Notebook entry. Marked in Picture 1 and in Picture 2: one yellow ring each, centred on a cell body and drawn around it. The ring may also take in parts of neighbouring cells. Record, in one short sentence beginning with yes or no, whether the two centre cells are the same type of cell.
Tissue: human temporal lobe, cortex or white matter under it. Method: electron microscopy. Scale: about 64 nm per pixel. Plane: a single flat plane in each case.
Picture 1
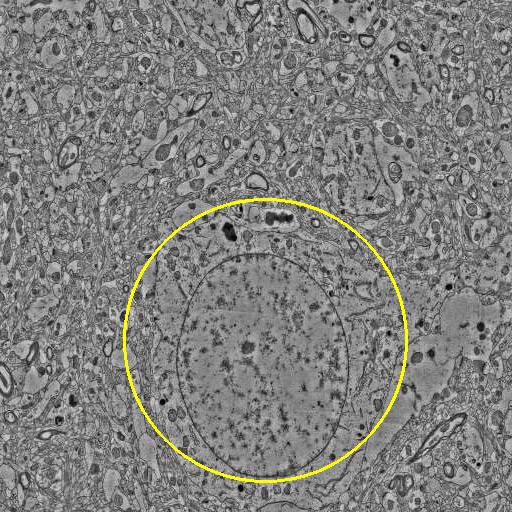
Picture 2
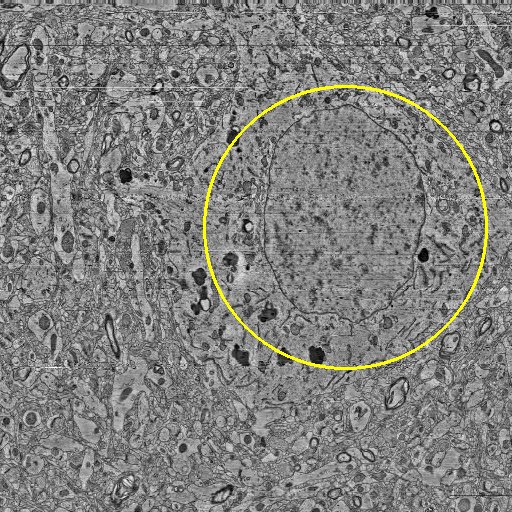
Yes, both are the same type of cell.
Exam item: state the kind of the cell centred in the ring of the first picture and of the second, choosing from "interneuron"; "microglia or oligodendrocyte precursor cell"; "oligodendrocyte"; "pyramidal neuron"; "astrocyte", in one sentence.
Both cells are the same kind, each one being a pyramidal neuron.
